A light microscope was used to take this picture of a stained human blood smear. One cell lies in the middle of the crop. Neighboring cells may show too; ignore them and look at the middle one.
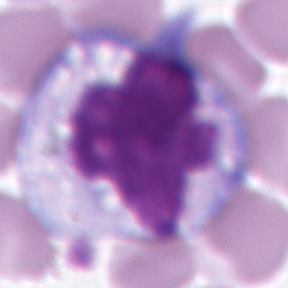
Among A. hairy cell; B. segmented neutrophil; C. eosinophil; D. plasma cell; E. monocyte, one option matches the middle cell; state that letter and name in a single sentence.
The one to choose is option E, as the cell in the middle is a monocyte.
